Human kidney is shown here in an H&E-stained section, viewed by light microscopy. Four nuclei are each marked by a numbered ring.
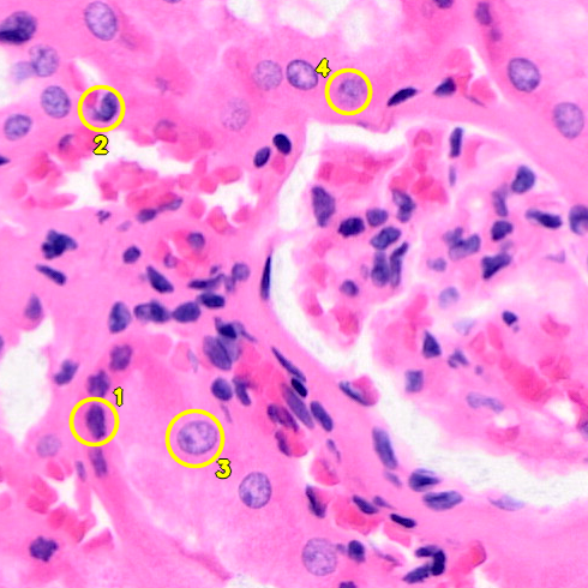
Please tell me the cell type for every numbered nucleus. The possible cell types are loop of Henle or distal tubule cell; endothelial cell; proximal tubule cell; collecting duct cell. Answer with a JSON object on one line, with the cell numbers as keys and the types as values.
{"1": "proximal tubule cell", "2": "endothelial cell", "3": "proximal tubule cell", "4": "proximal tubule cell"}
